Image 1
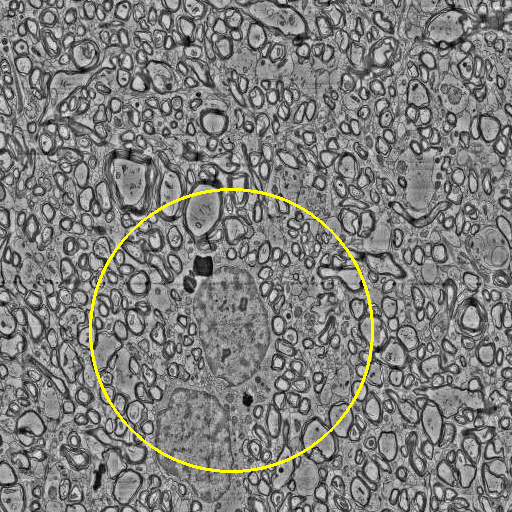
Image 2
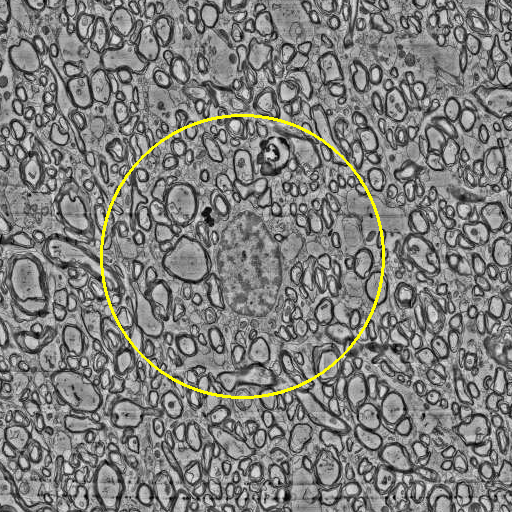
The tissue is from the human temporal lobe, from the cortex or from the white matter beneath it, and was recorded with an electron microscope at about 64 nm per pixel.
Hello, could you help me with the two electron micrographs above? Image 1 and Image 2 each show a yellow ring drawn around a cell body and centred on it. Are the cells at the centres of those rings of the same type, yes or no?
yes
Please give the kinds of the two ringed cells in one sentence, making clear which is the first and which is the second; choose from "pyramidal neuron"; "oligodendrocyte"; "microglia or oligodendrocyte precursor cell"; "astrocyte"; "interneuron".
Each of the ringed cells, first and second, is an oligodendrocyte.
